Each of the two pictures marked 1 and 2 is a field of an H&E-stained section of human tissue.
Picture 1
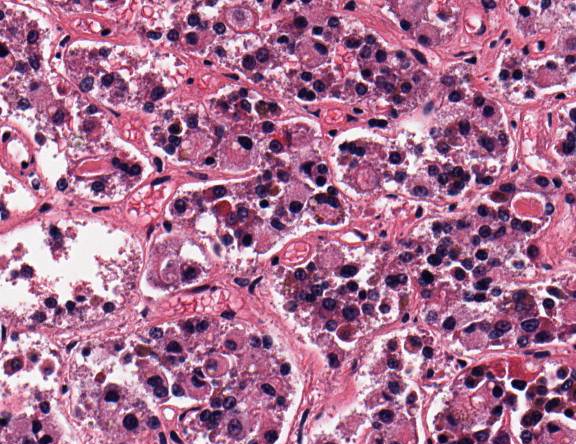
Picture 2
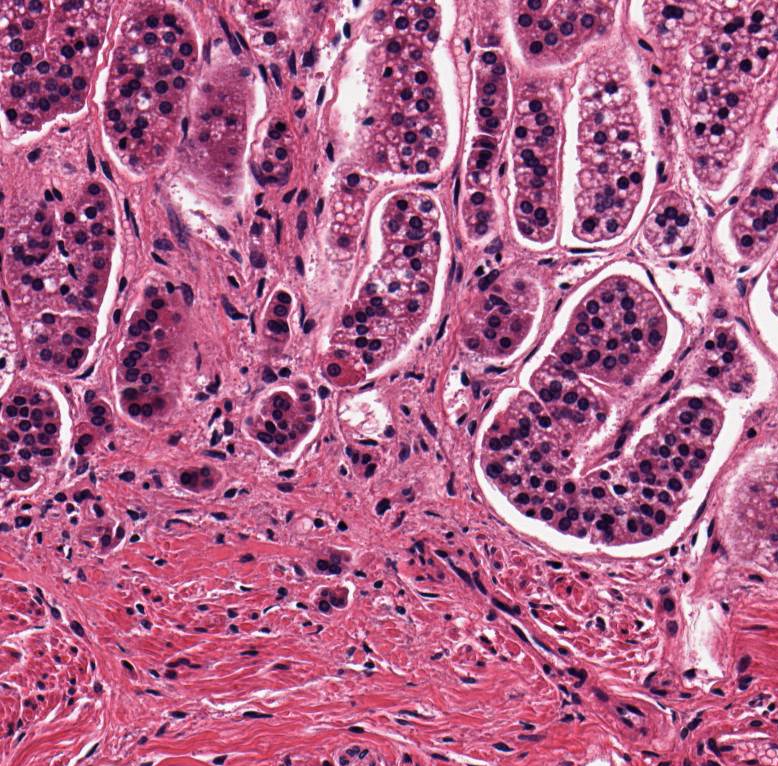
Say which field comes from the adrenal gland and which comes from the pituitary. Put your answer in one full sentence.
Picture 1 comes from the pituitary and picture 2 comes from the adrenal gland.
